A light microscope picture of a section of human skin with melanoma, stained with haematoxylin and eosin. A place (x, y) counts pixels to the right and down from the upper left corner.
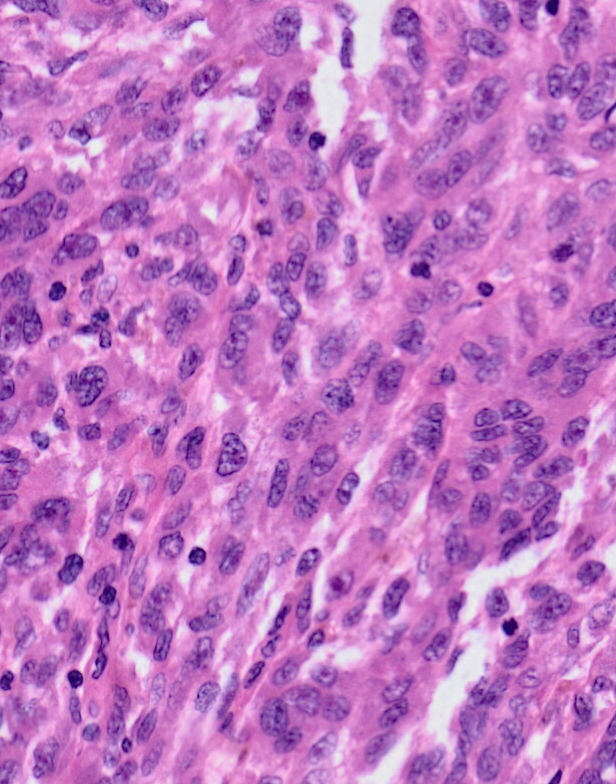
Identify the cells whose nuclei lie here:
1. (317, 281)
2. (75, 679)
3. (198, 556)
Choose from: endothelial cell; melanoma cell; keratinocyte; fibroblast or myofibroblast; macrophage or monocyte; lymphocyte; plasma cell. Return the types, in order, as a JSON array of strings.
["melanoma cell", "lymphocyte", "lymphocyte"]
